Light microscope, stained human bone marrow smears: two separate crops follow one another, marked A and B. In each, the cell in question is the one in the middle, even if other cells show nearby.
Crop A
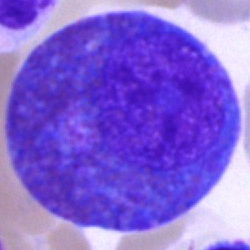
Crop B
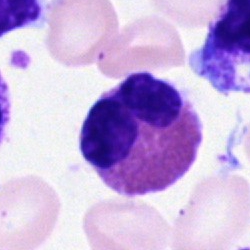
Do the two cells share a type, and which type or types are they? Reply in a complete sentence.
Yes, the cells centred in the two crops are both eosinophils.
